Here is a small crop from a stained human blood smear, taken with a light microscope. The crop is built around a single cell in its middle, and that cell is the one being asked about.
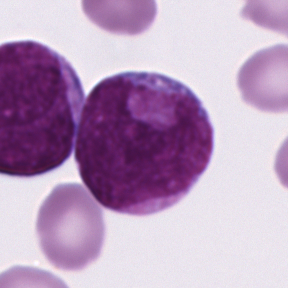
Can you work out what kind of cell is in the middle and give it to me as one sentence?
The center cell of this crop is a myeloblast.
